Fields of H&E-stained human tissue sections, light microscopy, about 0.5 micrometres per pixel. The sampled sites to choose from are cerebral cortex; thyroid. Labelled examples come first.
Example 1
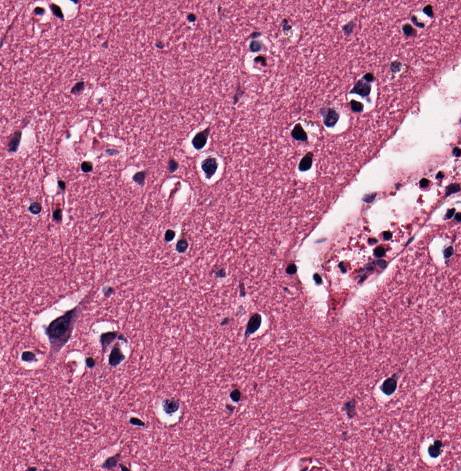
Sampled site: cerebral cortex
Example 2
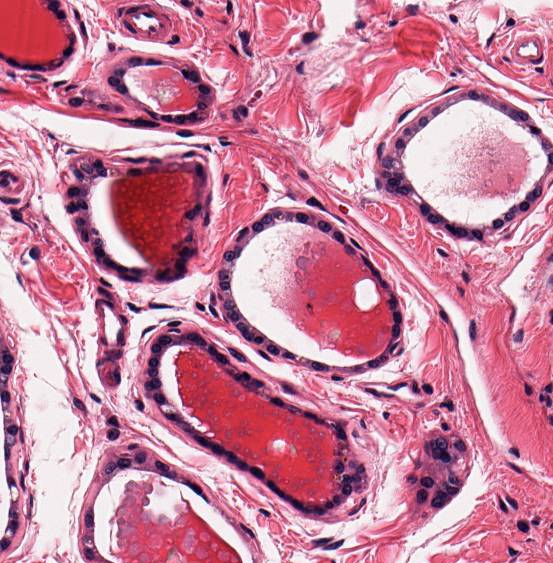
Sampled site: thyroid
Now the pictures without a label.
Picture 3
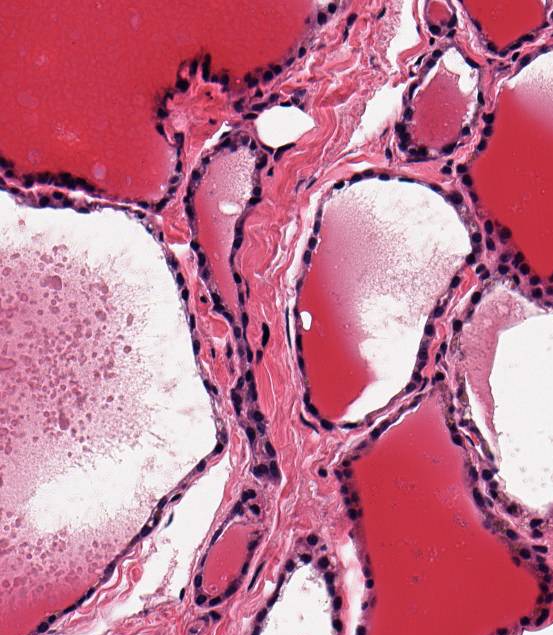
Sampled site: thyroid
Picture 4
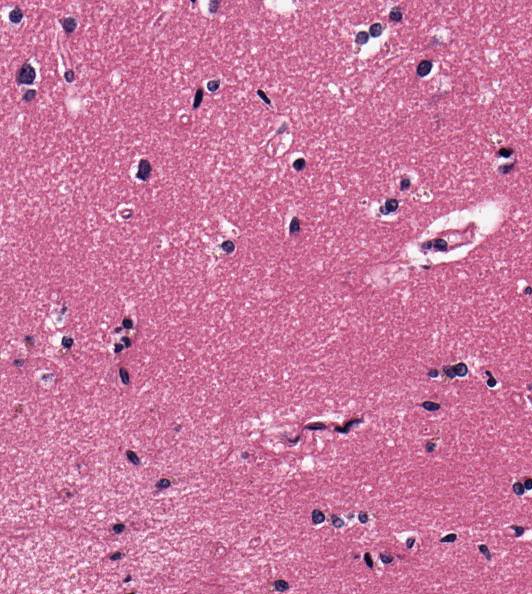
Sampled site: cerebral cortex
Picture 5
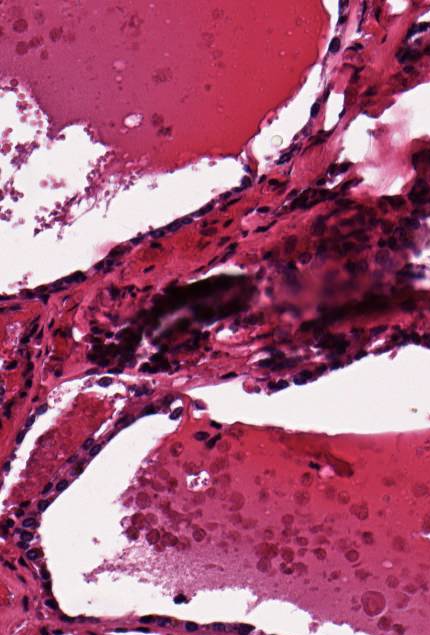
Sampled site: thyroid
